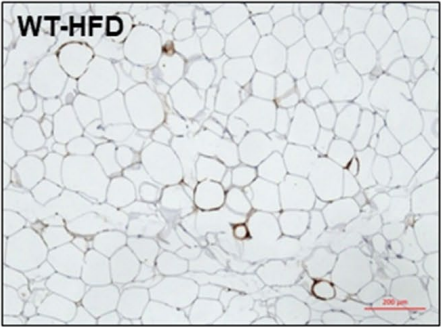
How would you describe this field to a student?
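This is white adipose tissue made of large, empty, rounded to polygonal adipocytes of varying size, separated by thin pale septa. Several adipocytes are encircled by brown-stained rings of macrophages, forming crown-like structures scattered across the field. Some brown material also forms crescents and small clusters along the septa between neighbouring fat cells. The adipocytes appear larger and more variable in size than a uniform fine honeycomb.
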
